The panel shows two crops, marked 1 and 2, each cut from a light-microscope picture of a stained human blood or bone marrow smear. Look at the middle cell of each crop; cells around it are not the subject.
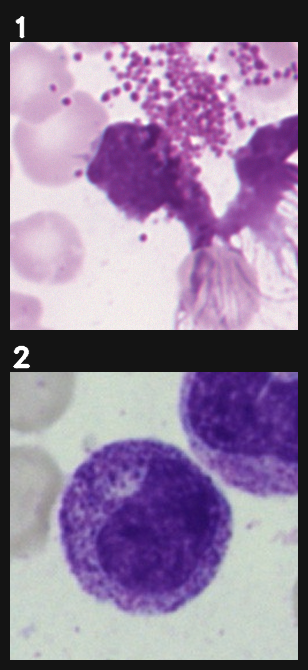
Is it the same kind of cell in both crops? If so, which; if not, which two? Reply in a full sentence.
No, that is not right; crop 1 shows an eosinophil and crop 2 shows a myelocyte.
